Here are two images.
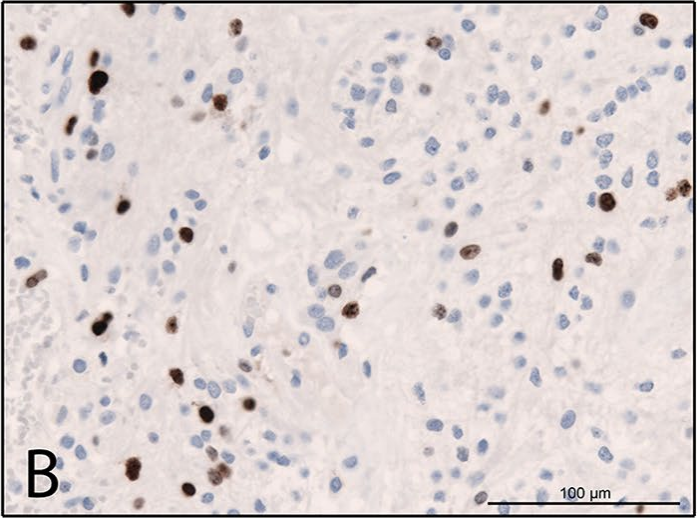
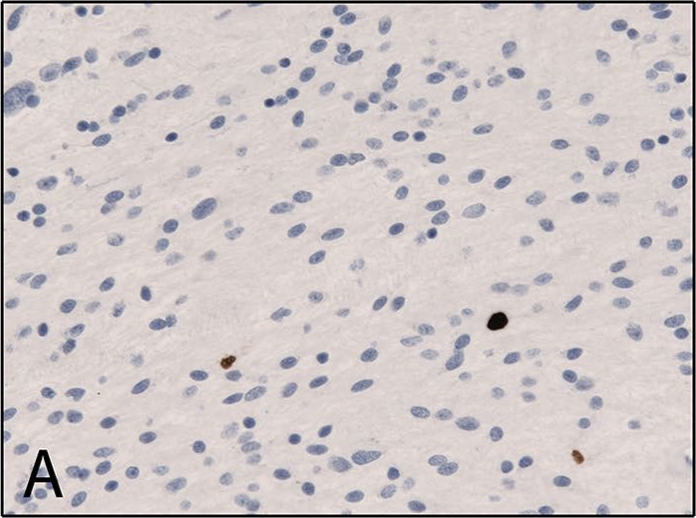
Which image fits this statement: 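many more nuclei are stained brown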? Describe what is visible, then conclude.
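First image: numerous brown nuclei are scattered across the field among blue nuclei.
The first image.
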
